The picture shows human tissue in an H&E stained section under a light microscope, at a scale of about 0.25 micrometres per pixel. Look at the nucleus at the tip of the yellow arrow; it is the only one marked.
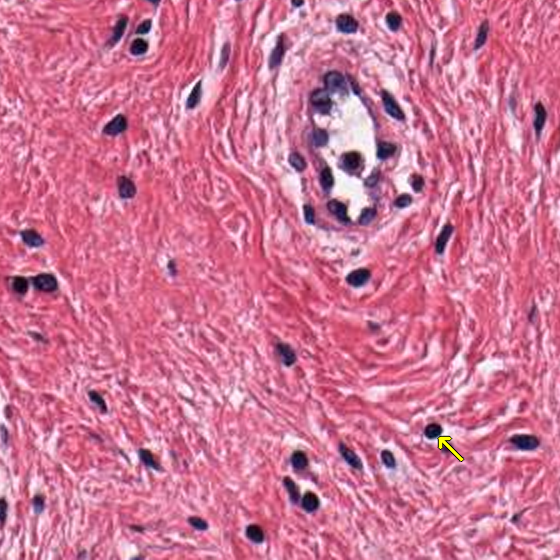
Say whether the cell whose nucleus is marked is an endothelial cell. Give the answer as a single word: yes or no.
no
